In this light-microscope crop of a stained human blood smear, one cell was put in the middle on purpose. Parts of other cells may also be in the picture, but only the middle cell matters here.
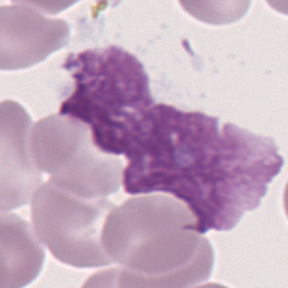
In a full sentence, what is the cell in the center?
The cell marked by its central position in the crop is a smudge cell.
